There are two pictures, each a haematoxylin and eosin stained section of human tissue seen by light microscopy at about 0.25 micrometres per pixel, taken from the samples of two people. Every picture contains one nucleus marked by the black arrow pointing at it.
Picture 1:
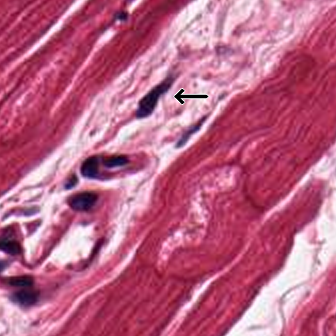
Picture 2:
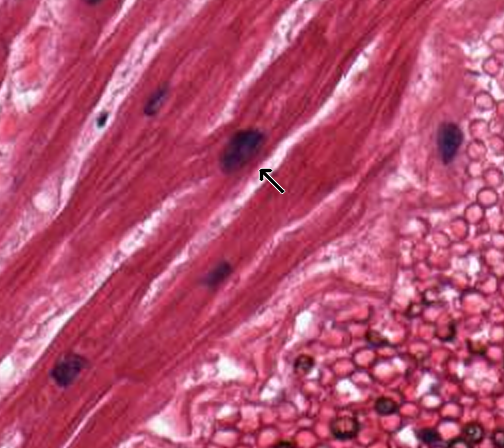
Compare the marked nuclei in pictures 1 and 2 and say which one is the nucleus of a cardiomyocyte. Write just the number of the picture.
2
